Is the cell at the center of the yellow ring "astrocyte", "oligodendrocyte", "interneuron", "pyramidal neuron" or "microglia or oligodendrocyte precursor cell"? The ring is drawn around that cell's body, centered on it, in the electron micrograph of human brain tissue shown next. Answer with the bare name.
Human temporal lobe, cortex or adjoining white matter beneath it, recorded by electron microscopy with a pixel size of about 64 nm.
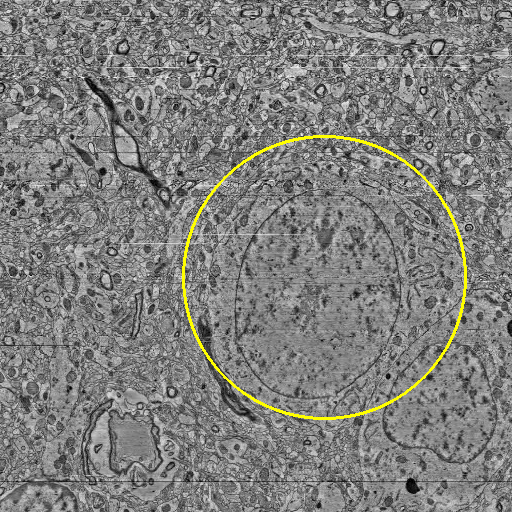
pyramidal neuron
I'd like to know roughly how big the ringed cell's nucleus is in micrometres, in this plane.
The nucleus appears roughly 14 by 11 micrometres in this plane.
